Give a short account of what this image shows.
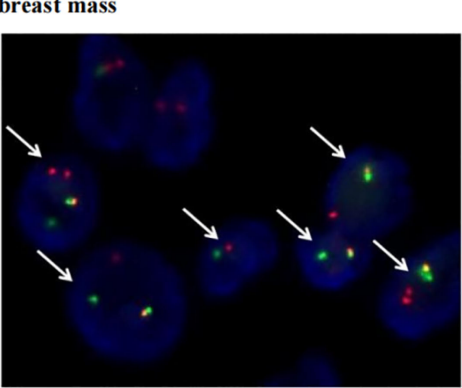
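Tumor cell nuclei appear as round to oval blue bodies on a black background, some overlapping at the edges. Each nucleus carries a few small bright dots, red, green or yellow where red and green overlap. In several nuclei the red and green dots lie apart from one another rather than together. The nuclear outlines are blurred and no cytoplasm is seen.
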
